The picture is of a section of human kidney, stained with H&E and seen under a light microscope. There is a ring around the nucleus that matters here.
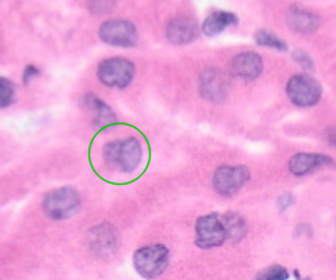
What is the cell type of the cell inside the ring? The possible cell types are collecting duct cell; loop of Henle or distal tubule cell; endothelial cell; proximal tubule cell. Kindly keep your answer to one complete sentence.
Microscopically, the cell inside the ring is categorized as a proximal tubule cell.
